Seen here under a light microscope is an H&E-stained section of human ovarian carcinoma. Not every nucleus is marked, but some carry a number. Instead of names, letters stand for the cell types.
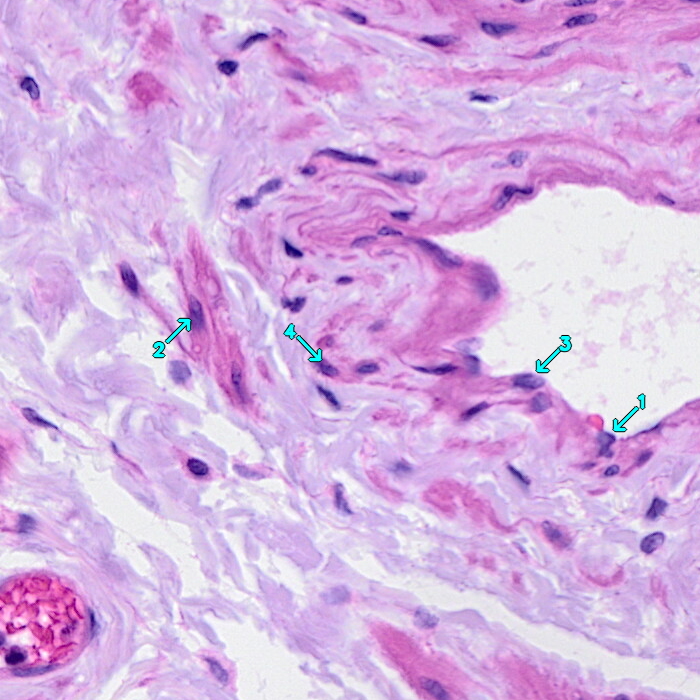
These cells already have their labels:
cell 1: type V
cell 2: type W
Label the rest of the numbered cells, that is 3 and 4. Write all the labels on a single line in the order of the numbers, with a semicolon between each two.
type V; type W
